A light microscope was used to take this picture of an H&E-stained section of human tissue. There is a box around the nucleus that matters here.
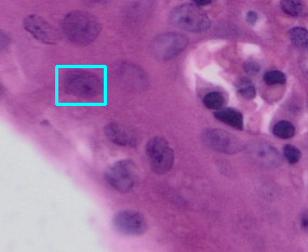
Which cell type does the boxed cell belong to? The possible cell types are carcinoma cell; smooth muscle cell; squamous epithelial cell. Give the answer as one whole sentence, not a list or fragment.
On this particular slide, the boxed cell is a squamous epithelial cell.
